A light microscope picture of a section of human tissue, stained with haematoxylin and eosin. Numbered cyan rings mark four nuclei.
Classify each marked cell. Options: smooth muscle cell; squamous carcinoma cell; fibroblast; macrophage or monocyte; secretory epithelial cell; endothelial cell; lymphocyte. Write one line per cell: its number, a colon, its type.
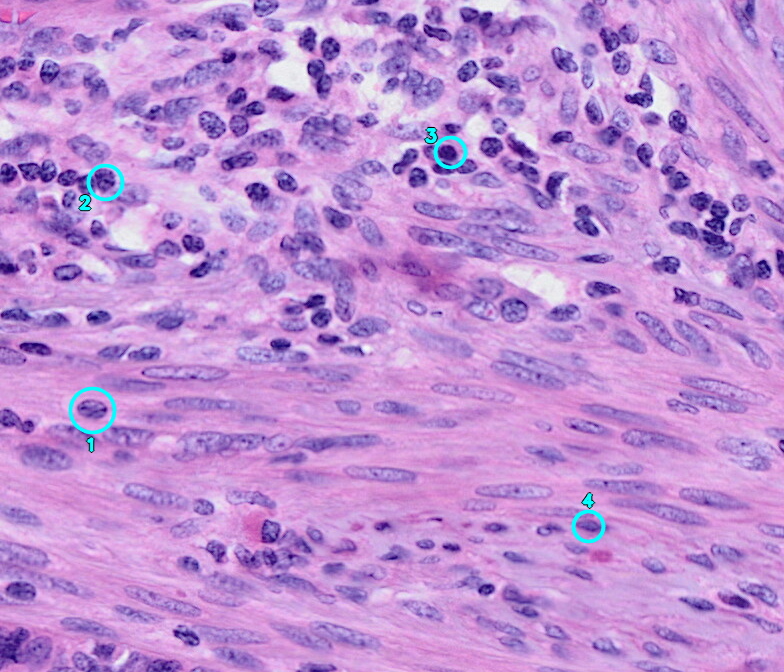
1: lymphocyte
2: lymphocyte
3: lymphocyte
4: smooth muscle cell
